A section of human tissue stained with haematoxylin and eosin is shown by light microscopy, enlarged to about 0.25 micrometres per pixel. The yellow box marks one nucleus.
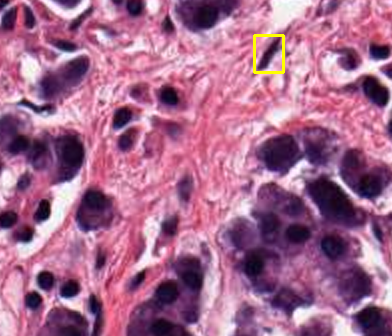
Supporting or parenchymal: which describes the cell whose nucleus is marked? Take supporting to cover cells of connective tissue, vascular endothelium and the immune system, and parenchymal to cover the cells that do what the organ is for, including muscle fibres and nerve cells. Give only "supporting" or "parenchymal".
supporting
